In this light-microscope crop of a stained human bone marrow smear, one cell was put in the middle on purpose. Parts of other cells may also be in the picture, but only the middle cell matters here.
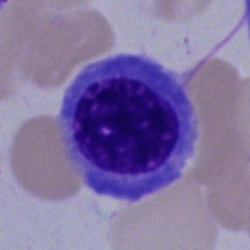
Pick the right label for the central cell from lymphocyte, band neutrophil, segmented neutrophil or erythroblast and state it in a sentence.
At the crop's centre, the cell is an erythroblast.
